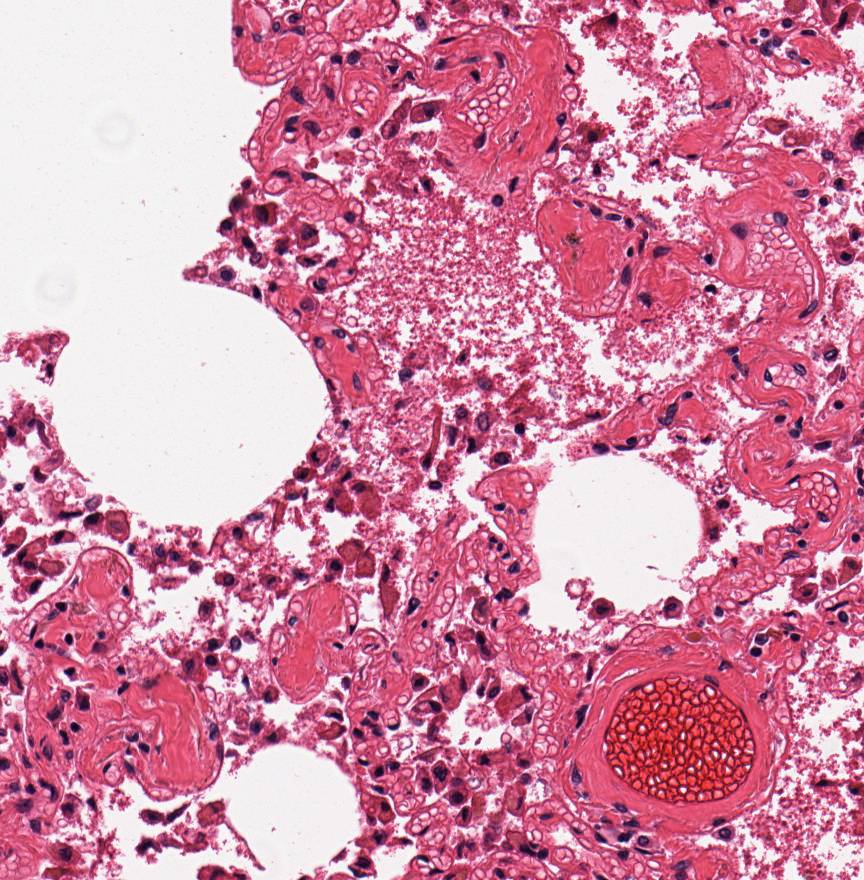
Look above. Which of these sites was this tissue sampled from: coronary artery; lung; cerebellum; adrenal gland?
lung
